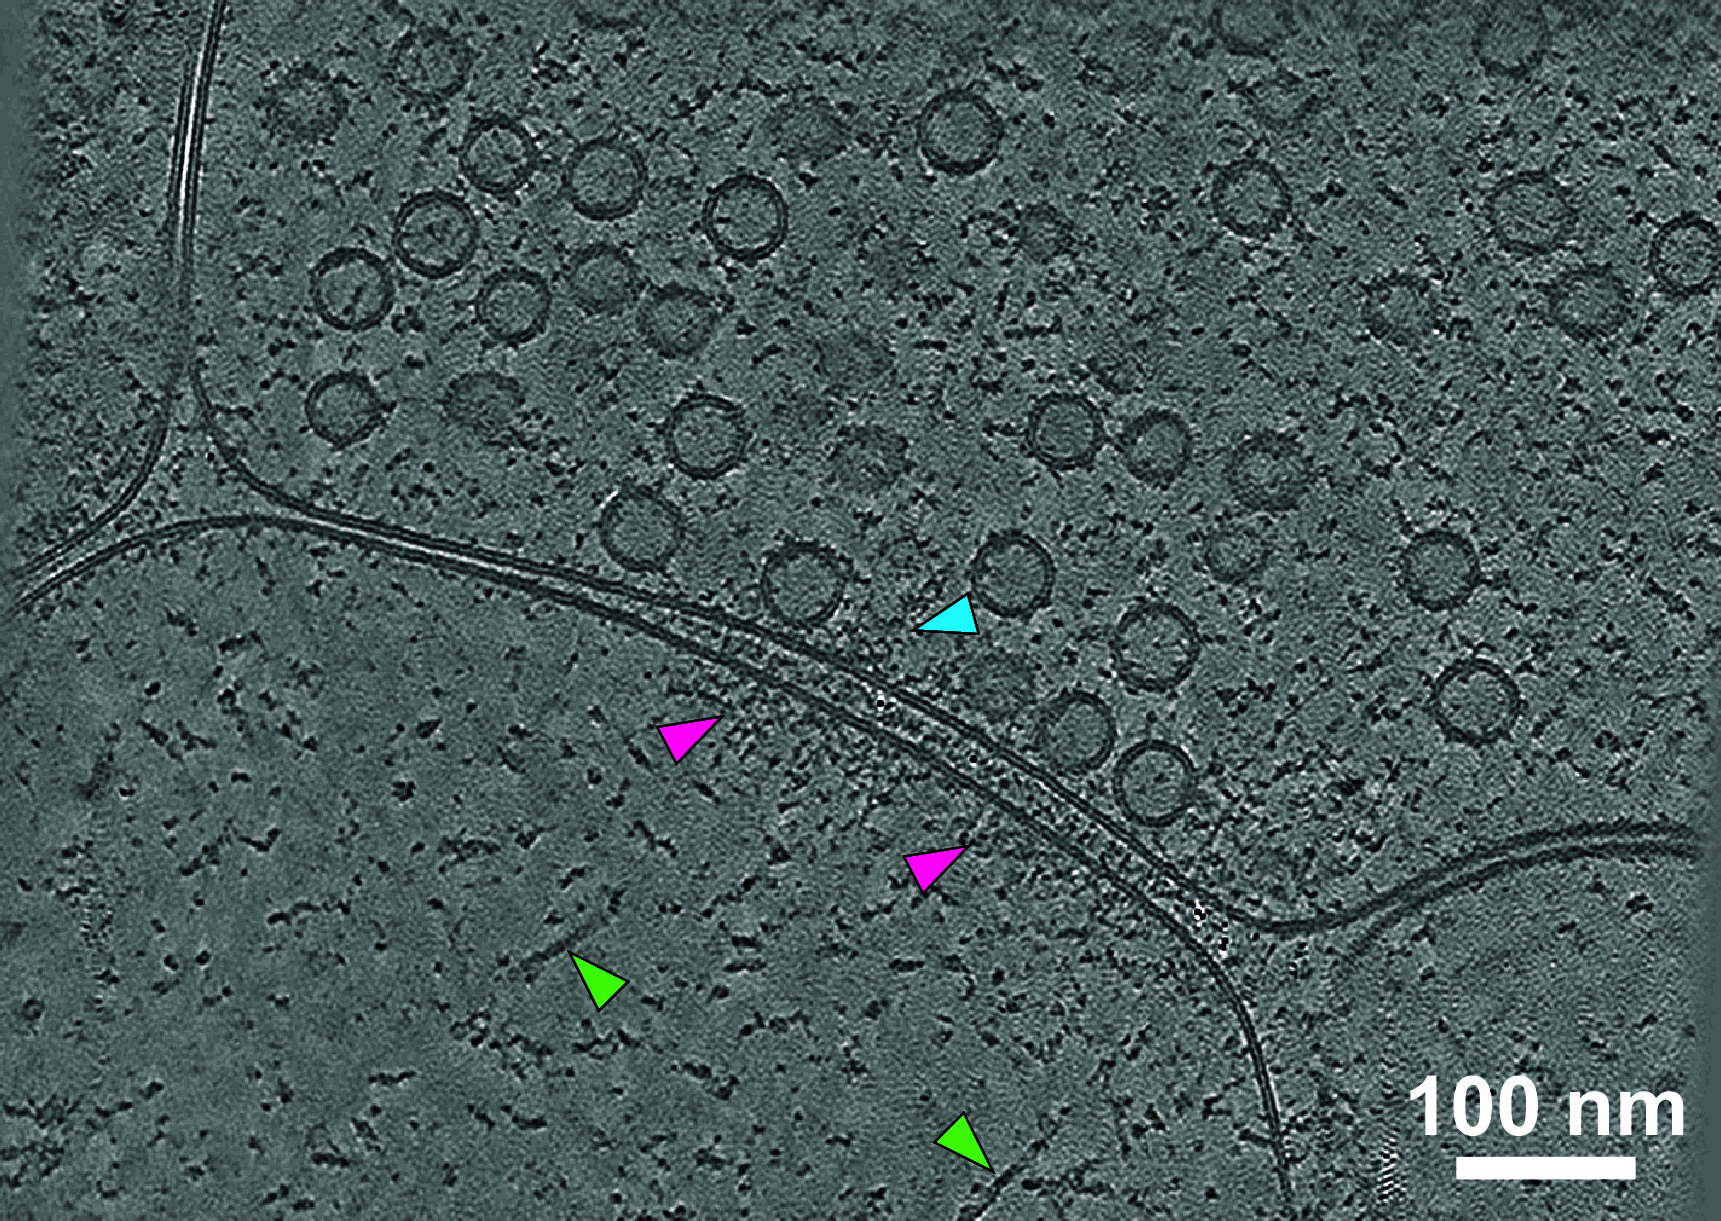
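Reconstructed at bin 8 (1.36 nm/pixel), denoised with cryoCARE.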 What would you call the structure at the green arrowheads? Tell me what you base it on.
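Actin filaments. The arrowheads point to thin, straight, dark linear profiles. These lie on the side of the paired membranes that has no vesicles.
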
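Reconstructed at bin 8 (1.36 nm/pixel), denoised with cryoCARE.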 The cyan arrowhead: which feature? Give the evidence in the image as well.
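Presynaptic protein density. The arrowhead points to granular dense material next to the membrane on the vesicle-filled side. This material lies between the vesicles and the membrane.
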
